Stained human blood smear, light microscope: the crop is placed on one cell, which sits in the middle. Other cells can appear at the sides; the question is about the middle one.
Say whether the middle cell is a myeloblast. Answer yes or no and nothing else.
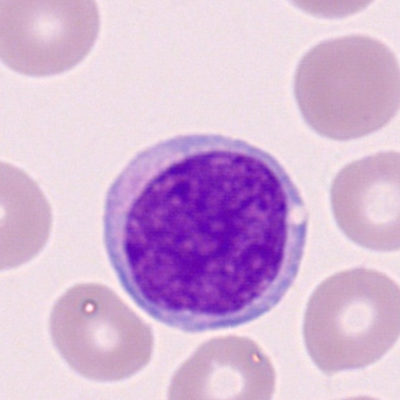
yes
